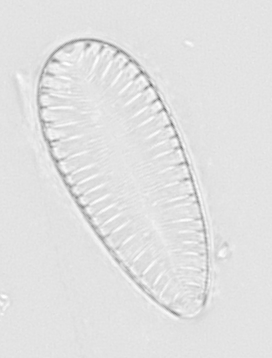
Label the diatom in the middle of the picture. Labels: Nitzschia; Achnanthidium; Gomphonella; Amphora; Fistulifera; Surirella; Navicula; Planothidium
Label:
Surirella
